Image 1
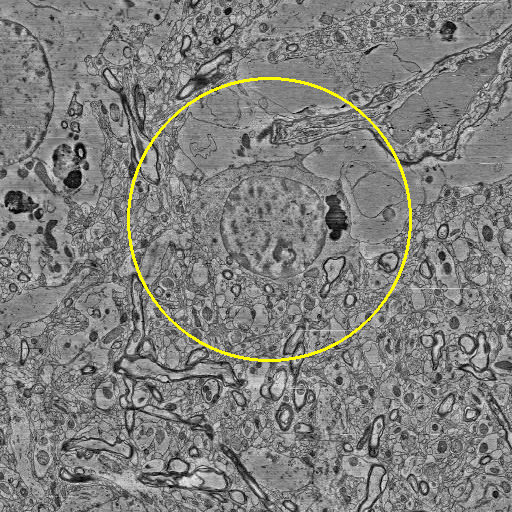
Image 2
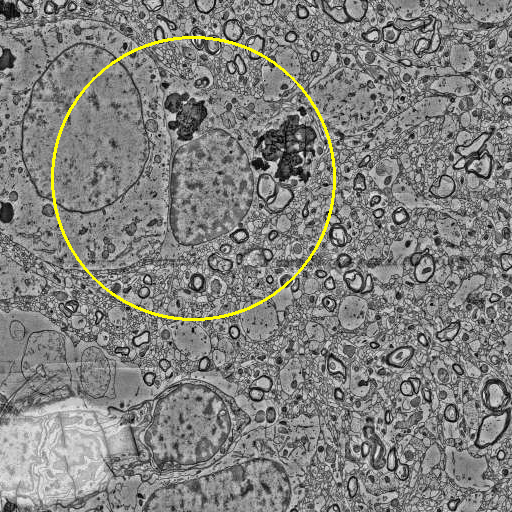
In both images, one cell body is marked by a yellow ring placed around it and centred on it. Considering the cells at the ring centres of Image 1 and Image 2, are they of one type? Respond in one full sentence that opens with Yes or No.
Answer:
Yes, a single type applies to the ring-centred cells of both Image 1 and Image 2.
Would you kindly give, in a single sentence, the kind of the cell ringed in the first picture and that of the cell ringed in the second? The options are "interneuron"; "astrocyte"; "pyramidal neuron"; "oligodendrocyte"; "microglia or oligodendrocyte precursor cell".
Both pictures show an oligodendrocyte at the centre of the ring.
